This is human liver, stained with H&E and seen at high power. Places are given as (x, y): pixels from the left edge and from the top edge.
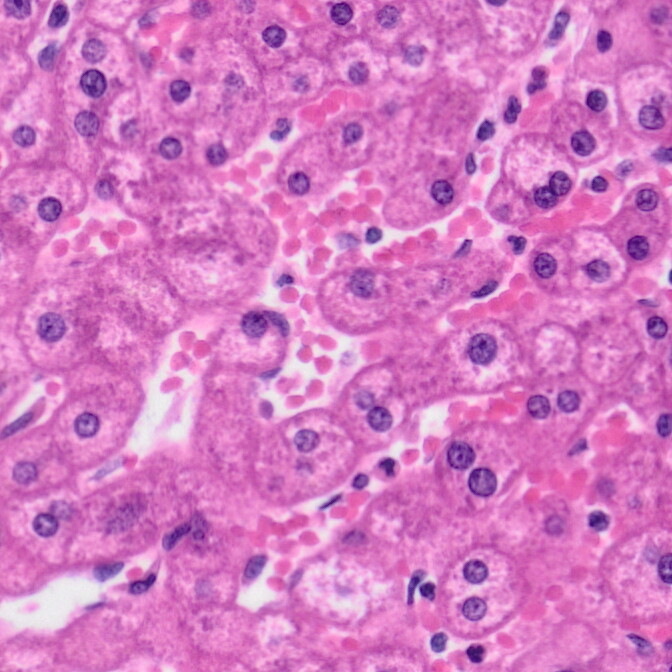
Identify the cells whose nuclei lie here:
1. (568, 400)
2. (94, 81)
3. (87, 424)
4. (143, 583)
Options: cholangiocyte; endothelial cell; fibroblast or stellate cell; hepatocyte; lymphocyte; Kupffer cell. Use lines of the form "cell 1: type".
cell 1: hepatocyte
cell 2: hepatocyte
cell 3: hepatocyte
cell 4: Kupffer cell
